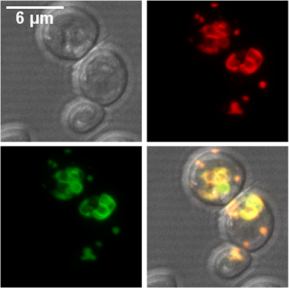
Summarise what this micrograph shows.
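These are a few small yeast cells seen in four matched views of one field. In the contrast image the cells are round to oval with a smooth, thick outline, and one carries a smaller bud. The red and green fluorescence each occupy irregular, patchy compartments inside the cells rather than filling them evenly. In the overlay the red and green patches coincide, appearing yellow to orange within the cell outlines.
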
